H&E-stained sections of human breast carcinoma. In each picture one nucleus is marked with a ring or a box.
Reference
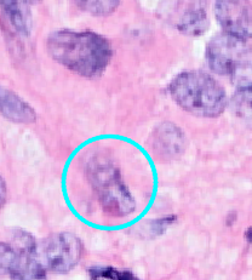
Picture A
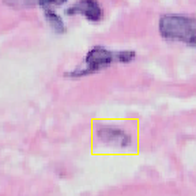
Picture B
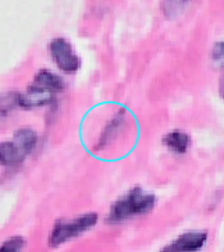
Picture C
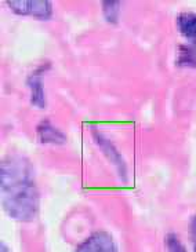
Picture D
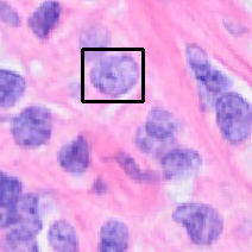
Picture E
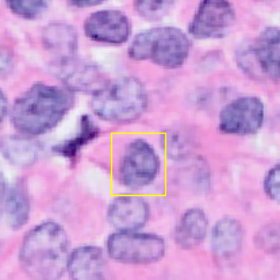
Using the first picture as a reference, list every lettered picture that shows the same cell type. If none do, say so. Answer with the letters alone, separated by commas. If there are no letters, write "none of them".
none of them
